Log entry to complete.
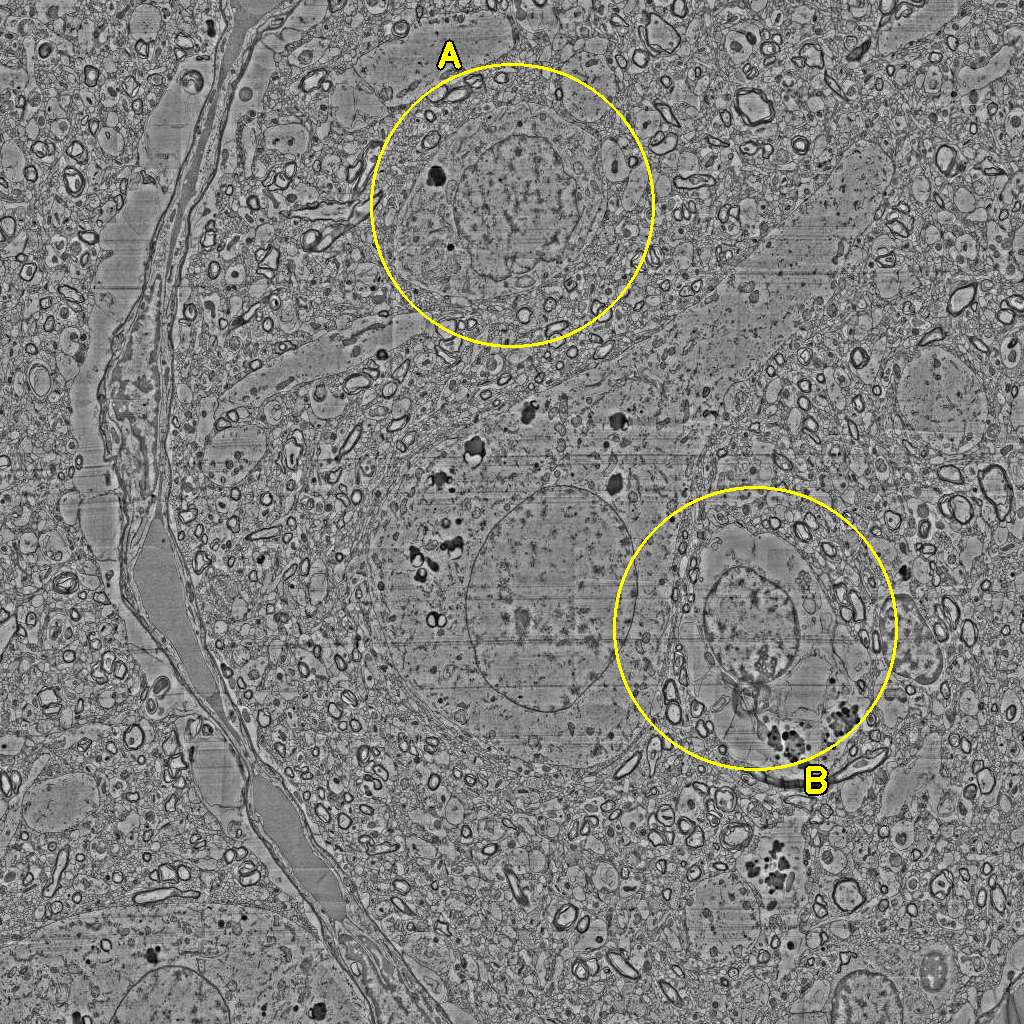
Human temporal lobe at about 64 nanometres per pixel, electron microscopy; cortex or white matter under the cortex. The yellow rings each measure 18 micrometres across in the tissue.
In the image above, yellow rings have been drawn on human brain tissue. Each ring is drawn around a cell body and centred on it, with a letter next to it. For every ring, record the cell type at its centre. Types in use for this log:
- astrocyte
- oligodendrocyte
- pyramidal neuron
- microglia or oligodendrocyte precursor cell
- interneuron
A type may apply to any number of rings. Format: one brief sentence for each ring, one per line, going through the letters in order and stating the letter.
In ring A, the centred cell is an interneuron.
In ring B, the centred cell is an astrocyte.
